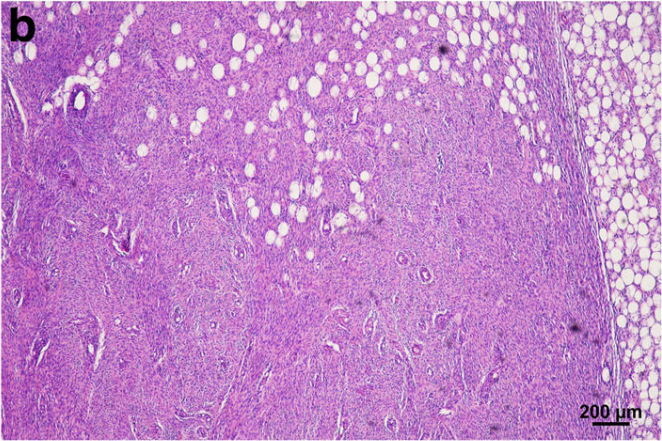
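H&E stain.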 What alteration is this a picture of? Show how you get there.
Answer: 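Dense pink cellular stroma extends among scattered clear fat cells.
Conclusion: permeative border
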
